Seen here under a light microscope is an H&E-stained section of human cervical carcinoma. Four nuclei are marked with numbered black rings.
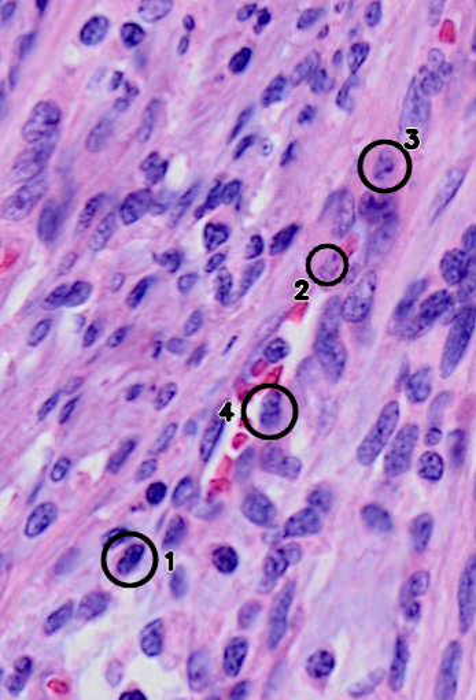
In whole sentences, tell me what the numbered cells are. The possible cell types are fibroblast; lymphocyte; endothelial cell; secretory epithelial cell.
Cell 1 is a lymphocyte. Cells 2, 3 and 4 are endothelial cells.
